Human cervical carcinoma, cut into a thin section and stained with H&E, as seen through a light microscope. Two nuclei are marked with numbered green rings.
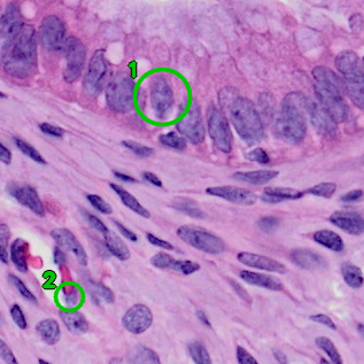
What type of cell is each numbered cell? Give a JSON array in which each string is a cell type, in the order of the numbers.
["secretory epithelial cell", "endothelial cell"]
